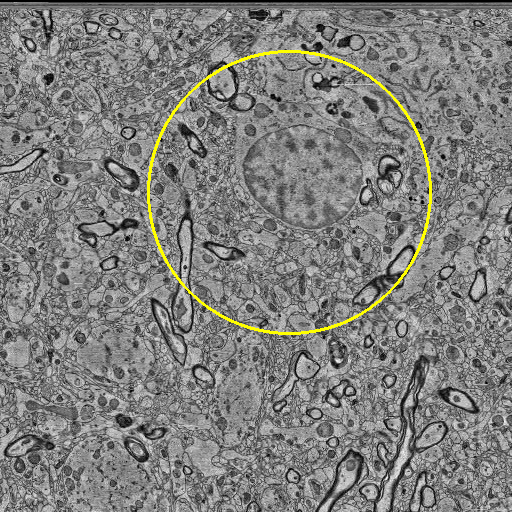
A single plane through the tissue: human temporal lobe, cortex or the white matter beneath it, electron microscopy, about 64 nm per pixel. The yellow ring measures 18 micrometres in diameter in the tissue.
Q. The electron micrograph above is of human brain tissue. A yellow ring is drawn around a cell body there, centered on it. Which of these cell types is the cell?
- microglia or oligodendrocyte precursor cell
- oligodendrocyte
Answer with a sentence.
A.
The cell under the ring's center is an oligodendrocyte.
